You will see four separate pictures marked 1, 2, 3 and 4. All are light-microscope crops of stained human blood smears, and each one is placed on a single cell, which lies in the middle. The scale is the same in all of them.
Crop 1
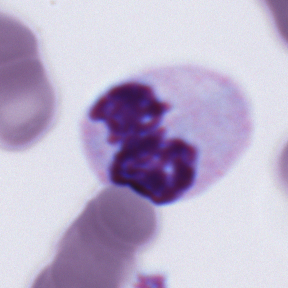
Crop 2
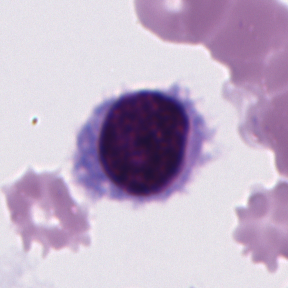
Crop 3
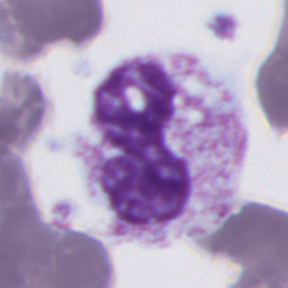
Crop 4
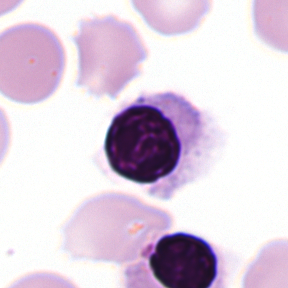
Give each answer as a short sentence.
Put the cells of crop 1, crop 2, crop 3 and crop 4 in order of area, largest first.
From the largest down, the order is 3, 1, 2, 4.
